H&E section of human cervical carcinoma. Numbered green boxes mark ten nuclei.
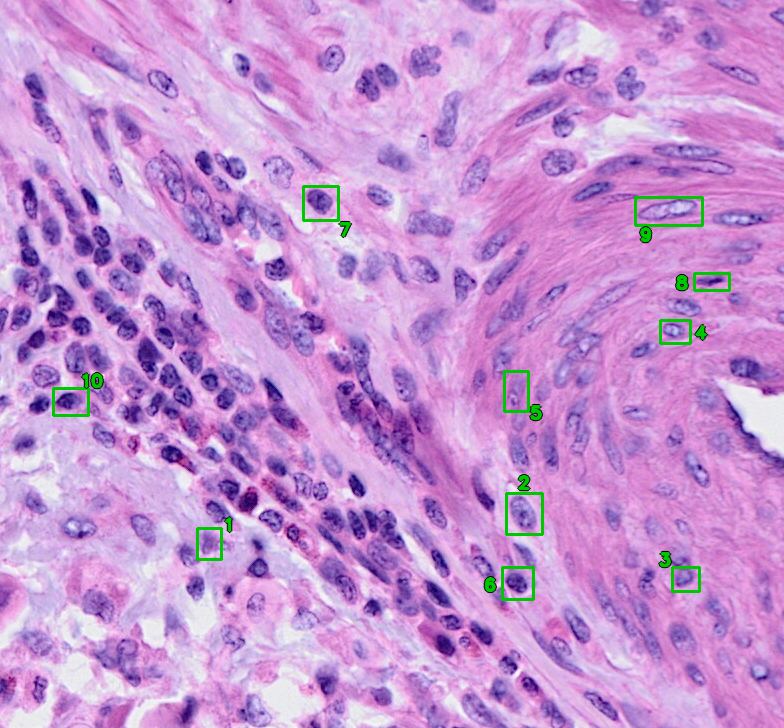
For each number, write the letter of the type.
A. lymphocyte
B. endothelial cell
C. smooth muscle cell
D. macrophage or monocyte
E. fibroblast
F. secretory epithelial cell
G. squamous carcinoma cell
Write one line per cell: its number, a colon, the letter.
1: D
2: D
3: C
4: C
5: C
6: A
7: A
8: C
9: C
10: A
